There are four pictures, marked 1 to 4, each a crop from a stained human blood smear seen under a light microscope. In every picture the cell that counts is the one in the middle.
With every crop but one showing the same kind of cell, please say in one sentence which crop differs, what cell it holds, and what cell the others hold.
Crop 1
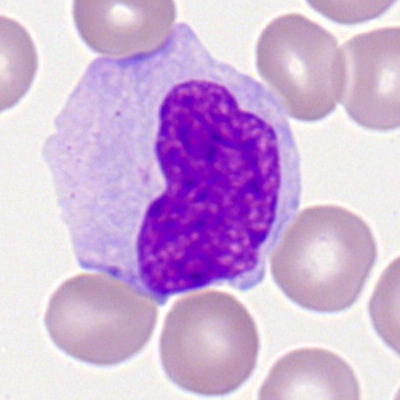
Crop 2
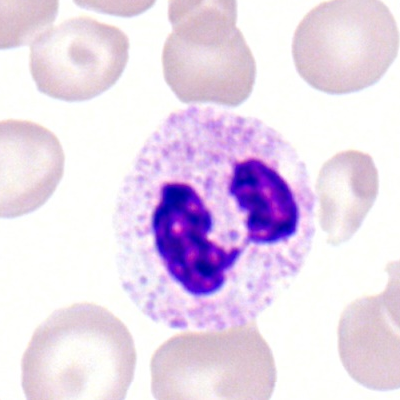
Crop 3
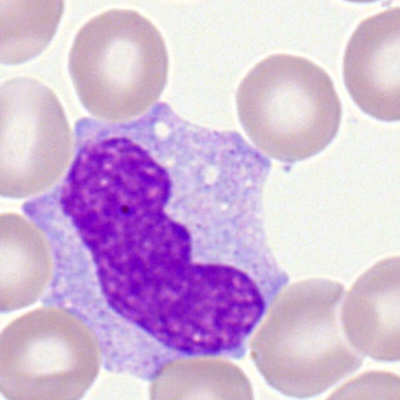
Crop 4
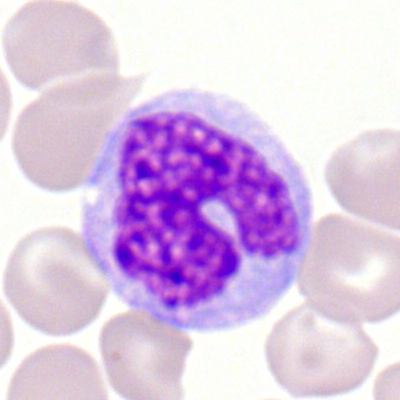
Crop 2 is the one to flag: it is a neutrophil, and the rest show monocytes.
